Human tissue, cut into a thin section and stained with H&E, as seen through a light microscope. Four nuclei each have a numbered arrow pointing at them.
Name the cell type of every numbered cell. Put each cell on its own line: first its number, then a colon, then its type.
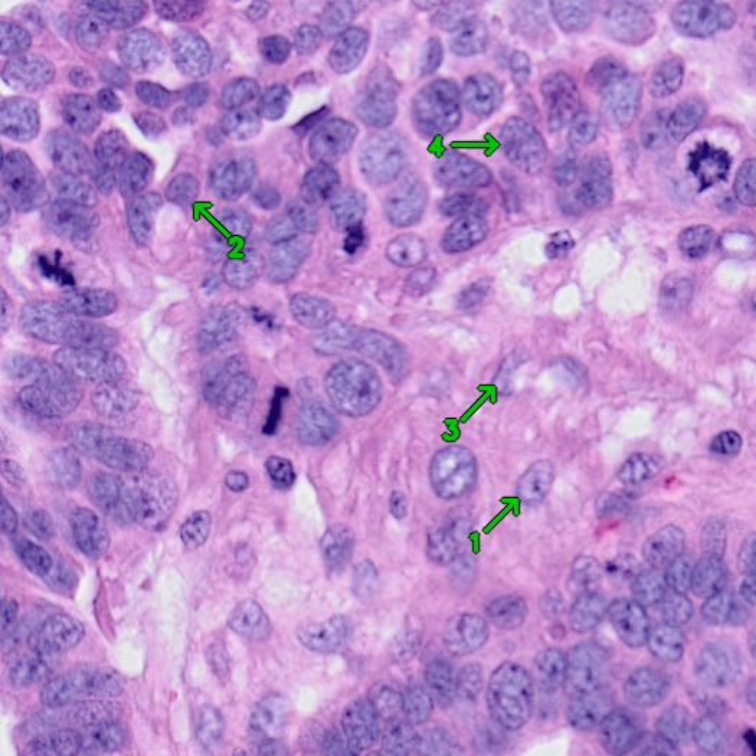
1: fibroblast
2: carcinoma cell
3: fibroblast
4: carcinoma cell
